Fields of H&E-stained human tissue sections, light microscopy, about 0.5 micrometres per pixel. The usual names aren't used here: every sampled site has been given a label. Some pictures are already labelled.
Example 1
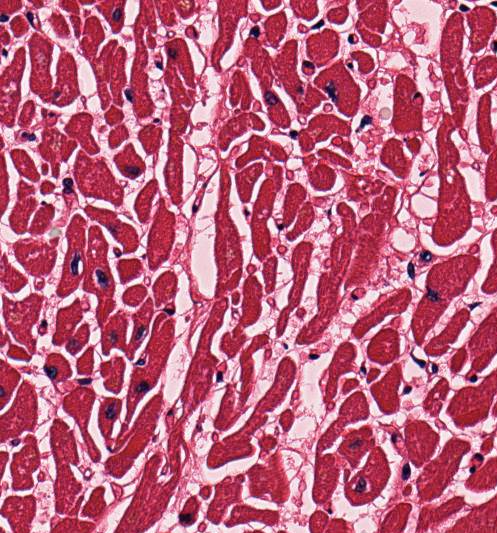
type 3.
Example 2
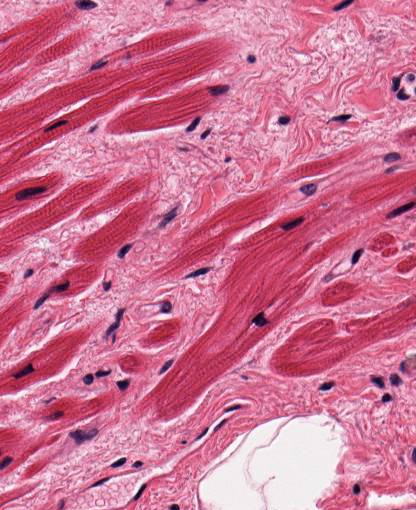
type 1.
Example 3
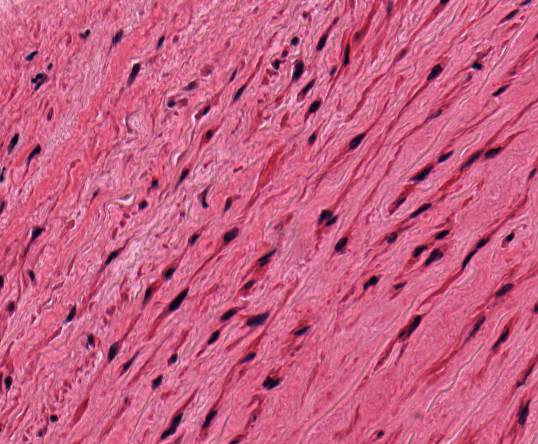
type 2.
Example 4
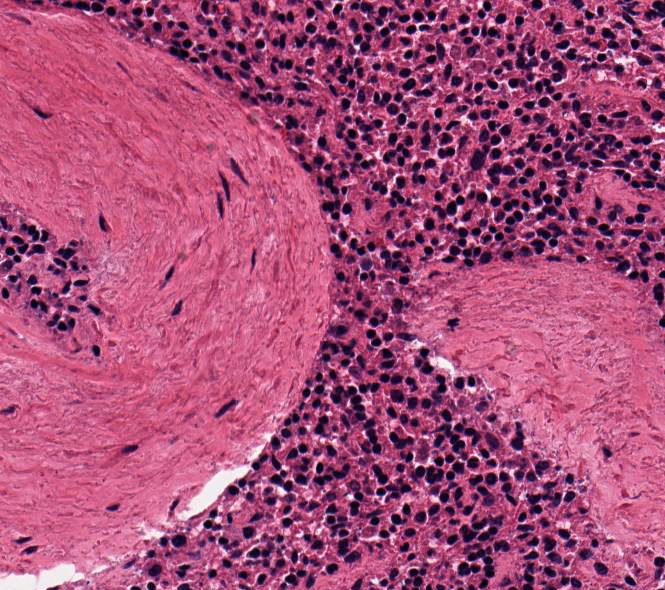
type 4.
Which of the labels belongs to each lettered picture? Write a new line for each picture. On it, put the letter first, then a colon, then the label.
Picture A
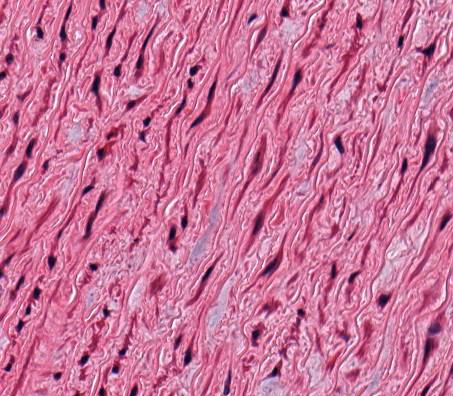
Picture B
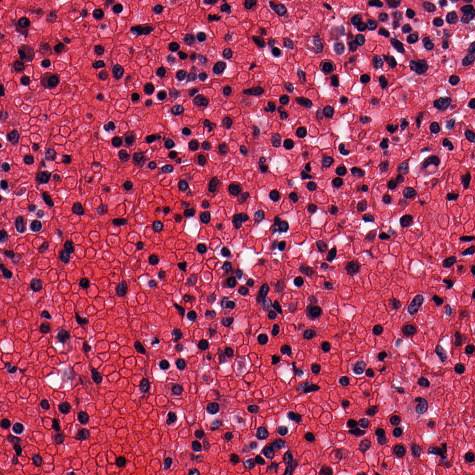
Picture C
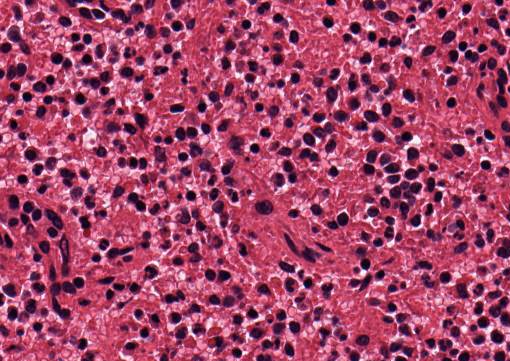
A: type 2.
B: type 4.
C: type 4.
